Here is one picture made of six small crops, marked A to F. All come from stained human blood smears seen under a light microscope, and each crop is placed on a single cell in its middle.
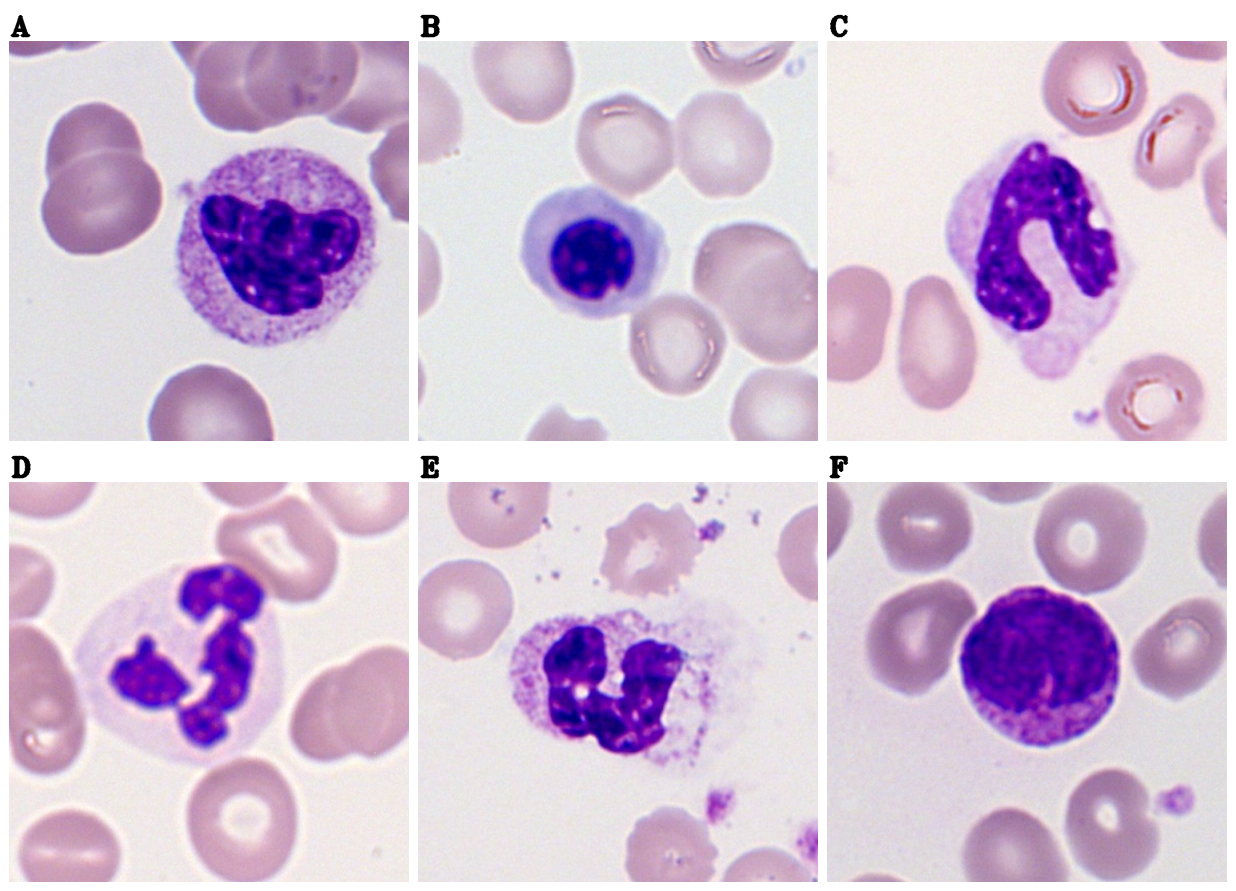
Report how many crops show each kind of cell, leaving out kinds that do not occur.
segmented neutrophil: 4
erythroblast: 1
basophil: 1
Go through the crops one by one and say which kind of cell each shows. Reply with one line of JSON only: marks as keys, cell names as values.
{"A": "segmented neutrophil", "B": "erythroblast", "C": "segmented neutrophil", "D": "segmented neutrophil", "E": "segmented neutrophil", "F": "basophil"}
